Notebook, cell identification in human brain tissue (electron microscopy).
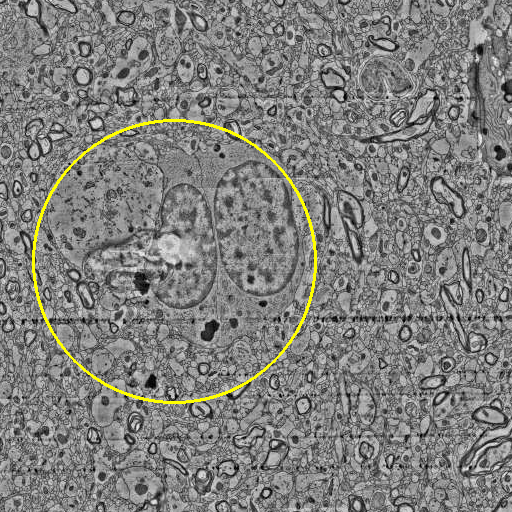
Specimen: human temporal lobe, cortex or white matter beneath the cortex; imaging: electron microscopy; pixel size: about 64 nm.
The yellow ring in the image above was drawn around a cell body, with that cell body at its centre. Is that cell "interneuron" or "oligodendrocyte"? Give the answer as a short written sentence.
The cell in the ring is an oligodendrocyte.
